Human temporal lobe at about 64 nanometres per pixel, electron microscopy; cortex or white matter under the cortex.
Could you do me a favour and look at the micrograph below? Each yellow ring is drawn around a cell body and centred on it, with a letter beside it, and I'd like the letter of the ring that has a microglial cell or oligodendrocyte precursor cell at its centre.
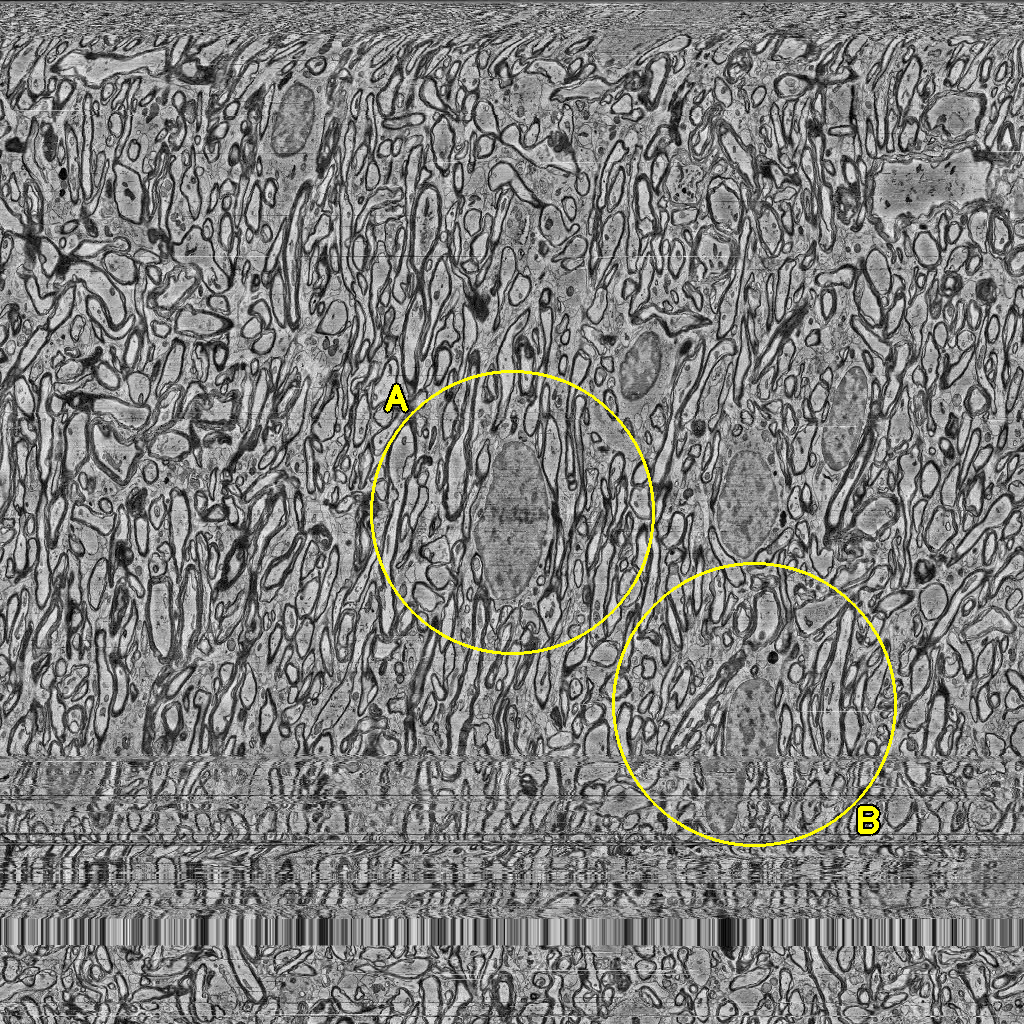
B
